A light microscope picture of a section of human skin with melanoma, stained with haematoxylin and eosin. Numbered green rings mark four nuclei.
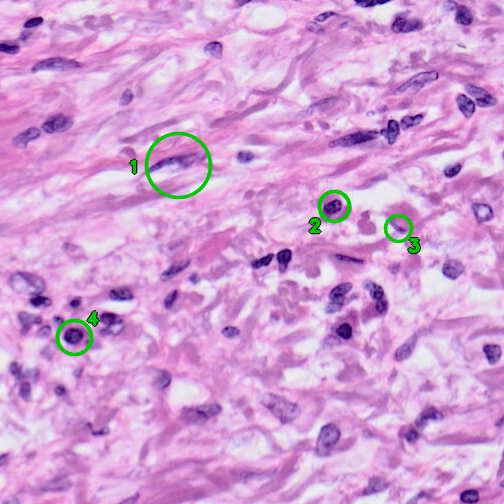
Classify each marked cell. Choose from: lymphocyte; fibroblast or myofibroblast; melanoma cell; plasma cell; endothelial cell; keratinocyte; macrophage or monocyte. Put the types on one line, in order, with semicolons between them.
fibroblast or myofibroblast; plasma cell; fibroblast or myofibroblast; plasma cell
